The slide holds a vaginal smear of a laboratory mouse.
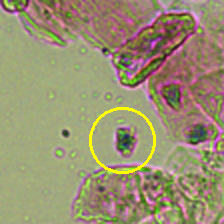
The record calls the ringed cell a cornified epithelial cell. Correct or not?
Not correct; it is a leukocyte.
